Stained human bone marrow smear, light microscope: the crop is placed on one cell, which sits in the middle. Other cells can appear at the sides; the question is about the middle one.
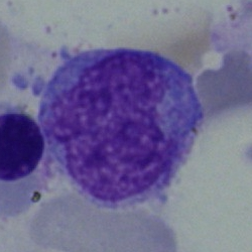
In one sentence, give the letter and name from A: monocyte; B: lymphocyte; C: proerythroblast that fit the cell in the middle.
Identified correctly by option A, the cell in the middle is a monocyte.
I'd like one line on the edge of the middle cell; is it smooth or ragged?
Its surface contour departs from smoothness through ragged edges or outward projections.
